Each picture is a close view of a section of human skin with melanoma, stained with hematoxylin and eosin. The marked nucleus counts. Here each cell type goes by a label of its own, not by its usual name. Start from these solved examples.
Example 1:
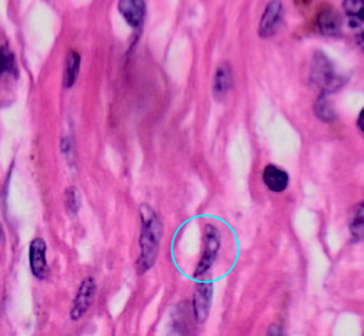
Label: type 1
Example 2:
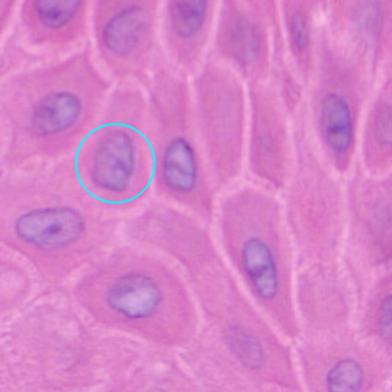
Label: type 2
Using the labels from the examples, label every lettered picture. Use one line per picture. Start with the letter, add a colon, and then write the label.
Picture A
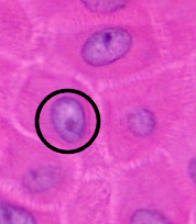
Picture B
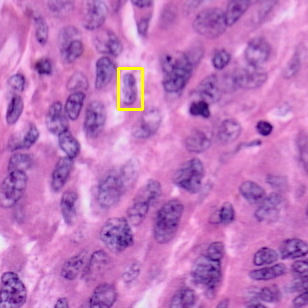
A: type 2
B: type 1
